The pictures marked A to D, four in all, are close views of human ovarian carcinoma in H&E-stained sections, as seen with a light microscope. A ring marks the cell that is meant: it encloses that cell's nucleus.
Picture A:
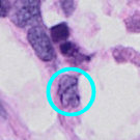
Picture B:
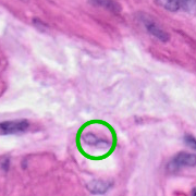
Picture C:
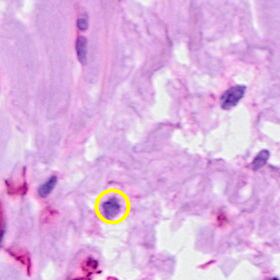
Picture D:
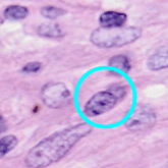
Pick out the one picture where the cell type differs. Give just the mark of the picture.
B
